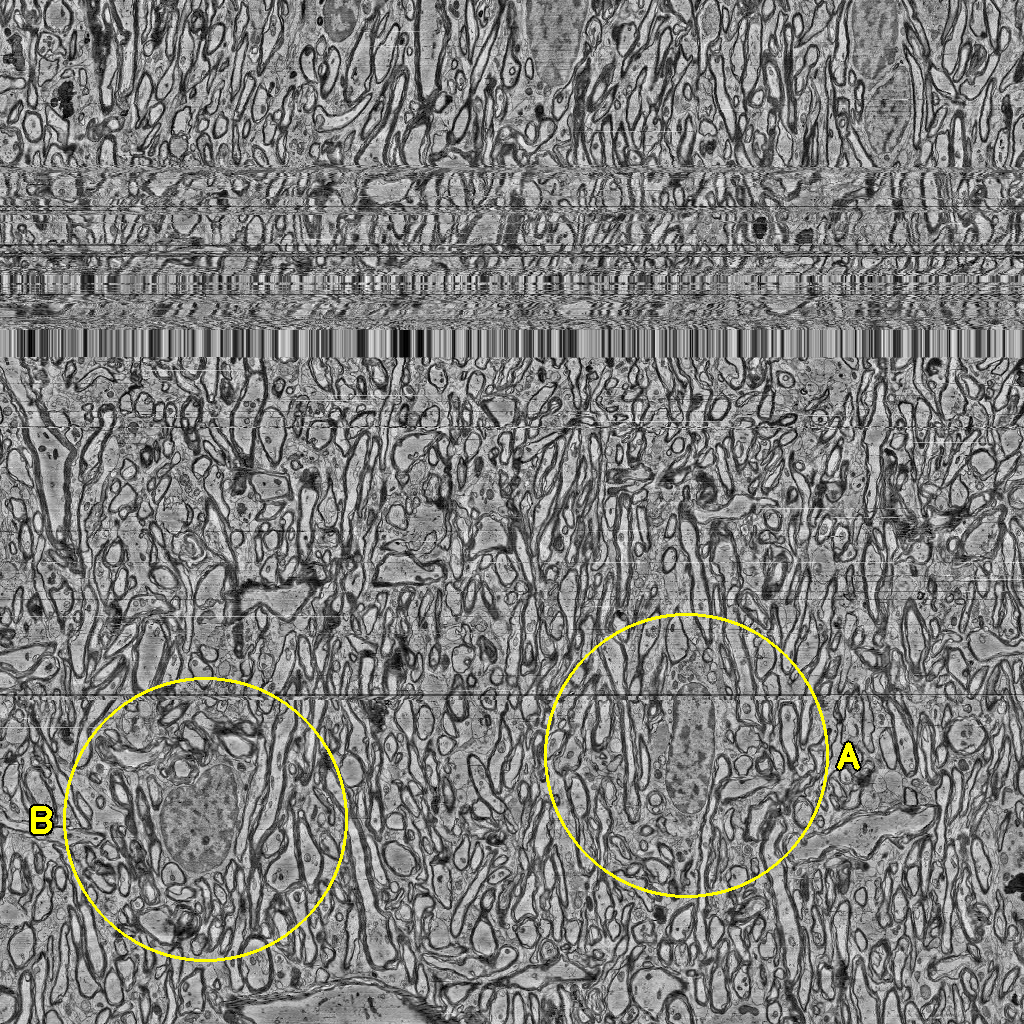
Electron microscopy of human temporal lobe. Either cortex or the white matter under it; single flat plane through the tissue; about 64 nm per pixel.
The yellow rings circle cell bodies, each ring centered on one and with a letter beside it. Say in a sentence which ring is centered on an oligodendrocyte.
Ring B is centered on it.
